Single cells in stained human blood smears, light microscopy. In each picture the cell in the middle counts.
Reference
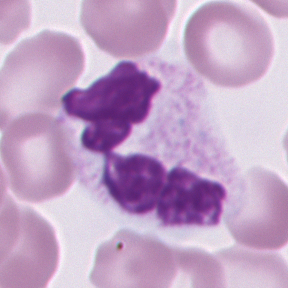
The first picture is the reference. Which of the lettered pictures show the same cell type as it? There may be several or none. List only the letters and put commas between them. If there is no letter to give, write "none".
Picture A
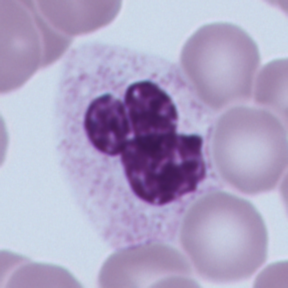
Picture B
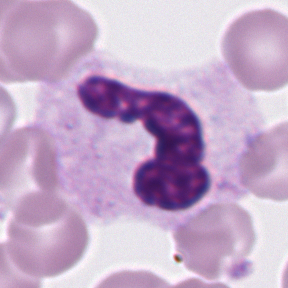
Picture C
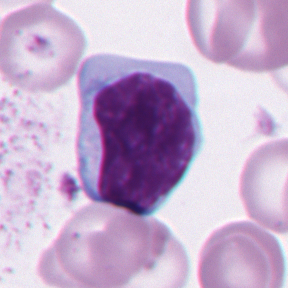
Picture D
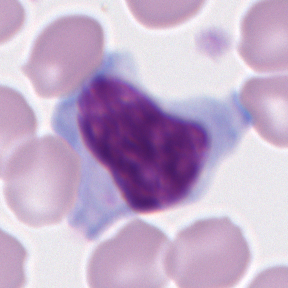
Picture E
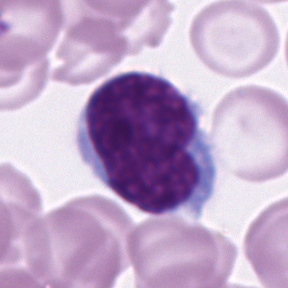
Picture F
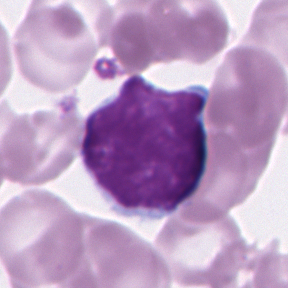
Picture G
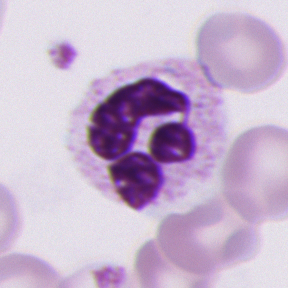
A, B, G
